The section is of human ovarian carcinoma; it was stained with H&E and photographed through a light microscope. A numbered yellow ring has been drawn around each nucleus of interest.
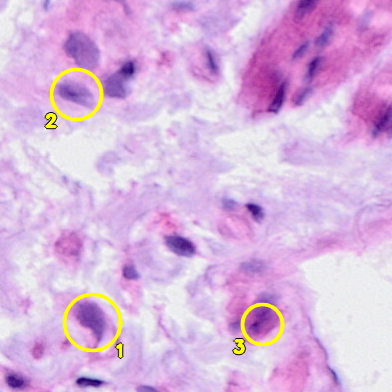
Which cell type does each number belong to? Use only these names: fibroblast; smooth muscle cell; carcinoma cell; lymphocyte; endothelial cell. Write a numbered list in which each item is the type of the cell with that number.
1. endothelial cell
2. fibroblast
3. smooth muscle cell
